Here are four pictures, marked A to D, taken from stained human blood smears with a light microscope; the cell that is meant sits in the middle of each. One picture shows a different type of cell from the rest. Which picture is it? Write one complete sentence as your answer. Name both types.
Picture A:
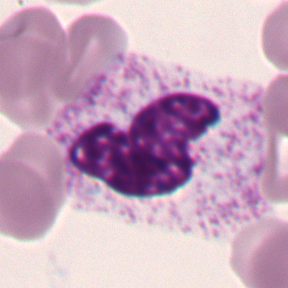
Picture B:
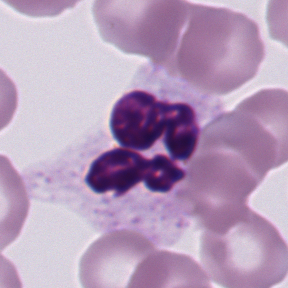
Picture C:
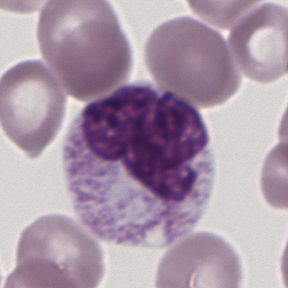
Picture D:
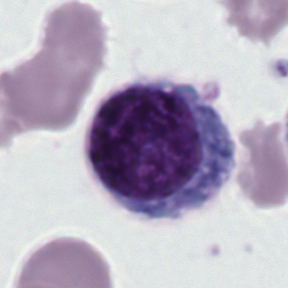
The others show segmented neutrophils, but picture D shows a plasma cell.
